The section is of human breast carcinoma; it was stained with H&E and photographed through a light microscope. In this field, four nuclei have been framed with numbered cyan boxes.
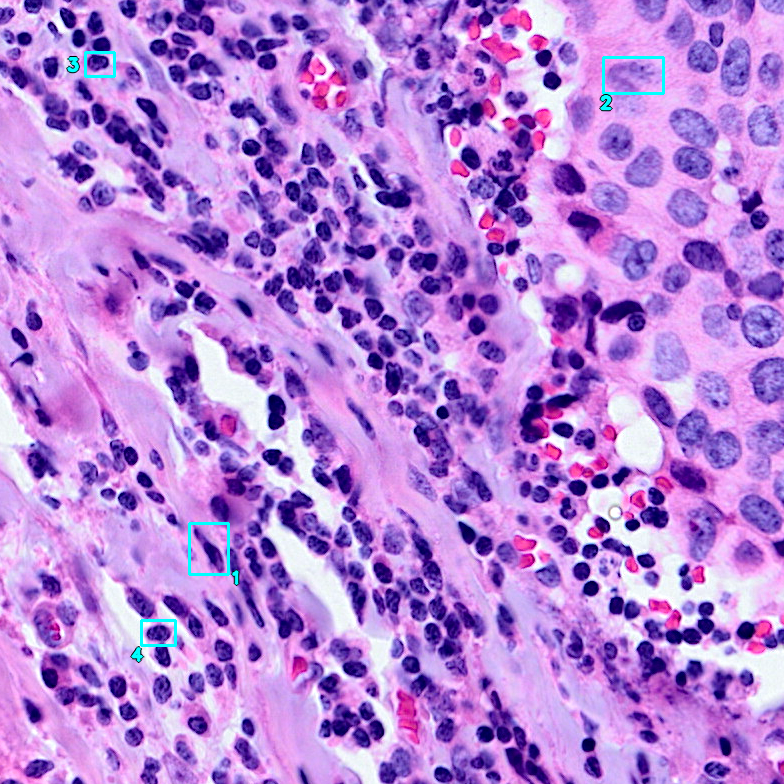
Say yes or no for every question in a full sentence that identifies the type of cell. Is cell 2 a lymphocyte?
No, cell 2 is not a lymphocyte; a carcinoma cell is the correct identification.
